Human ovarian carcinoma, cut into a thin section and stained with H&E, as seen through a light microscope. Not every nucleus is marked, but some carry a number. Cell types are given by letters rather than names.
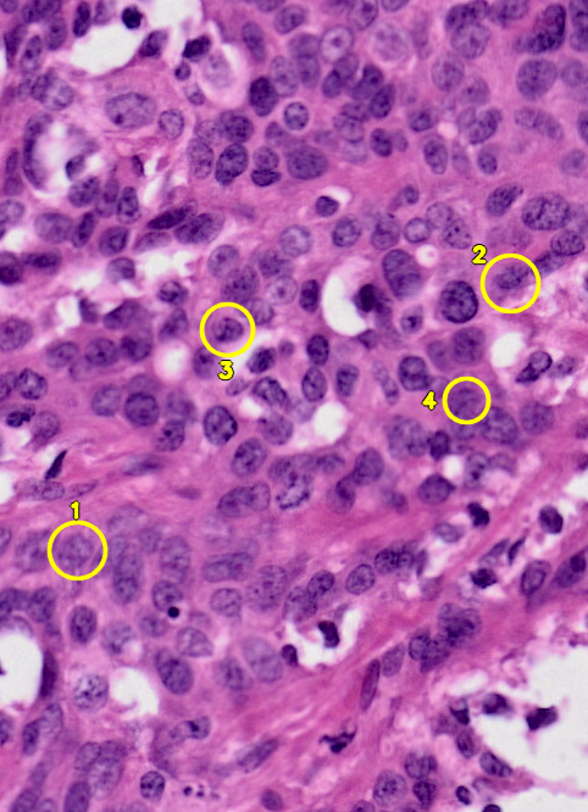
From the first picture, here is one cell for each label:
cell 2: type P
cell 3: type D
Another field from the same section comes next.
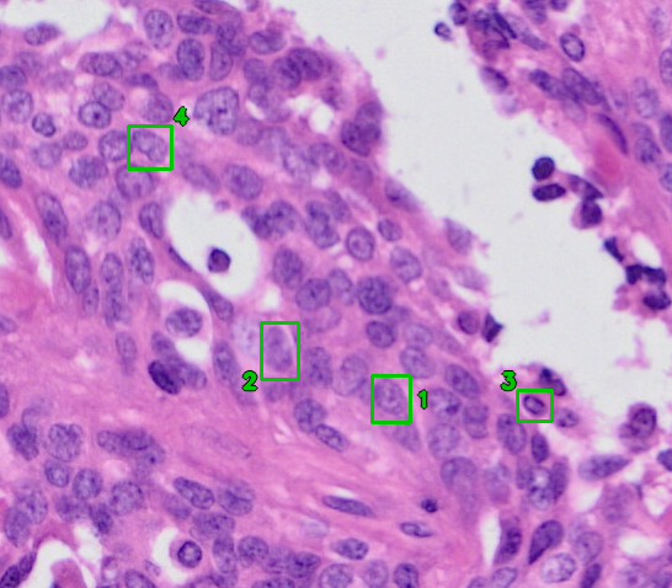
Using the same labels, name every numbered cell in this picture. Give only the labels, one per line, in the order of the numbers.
type P
type P
type D
type P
